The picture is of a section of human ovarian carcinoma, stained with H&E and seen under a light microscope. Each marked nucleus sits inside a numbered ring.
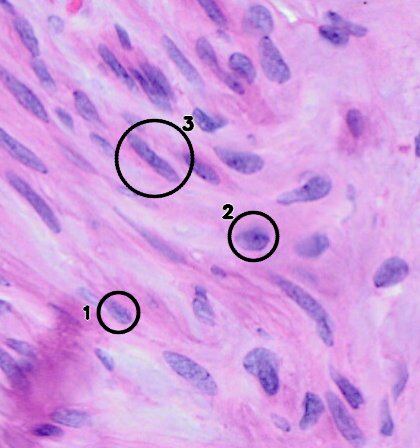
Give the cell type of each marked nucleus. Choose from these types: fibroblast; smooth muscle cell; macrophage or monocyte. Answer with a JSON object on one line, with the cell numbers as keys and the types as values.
{"1": "smooth muscle cell", "2": "fibroblast", "3": "smooth muscle cell"}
